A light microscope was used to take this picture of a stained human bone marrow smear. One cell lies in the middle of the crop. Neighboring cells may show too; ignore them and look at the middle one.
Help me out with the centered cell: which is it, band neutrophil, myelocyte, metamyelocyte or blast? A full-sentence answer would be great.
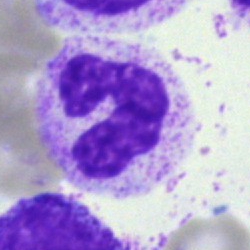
Of the cells in this crop, the central one is a band neutrophil.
